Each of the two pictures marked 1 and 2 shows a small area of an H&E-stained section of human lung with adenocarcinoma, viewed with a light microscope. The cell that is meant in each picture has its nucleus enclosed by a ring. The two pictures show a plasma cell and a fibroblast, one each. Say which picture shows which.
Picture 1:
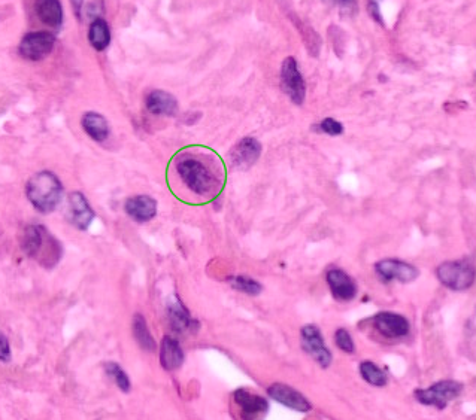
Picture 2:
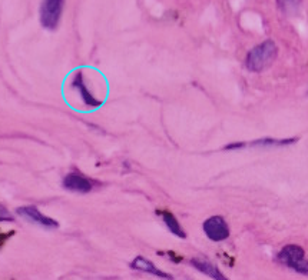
1: plasma cell
2: fibroblast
